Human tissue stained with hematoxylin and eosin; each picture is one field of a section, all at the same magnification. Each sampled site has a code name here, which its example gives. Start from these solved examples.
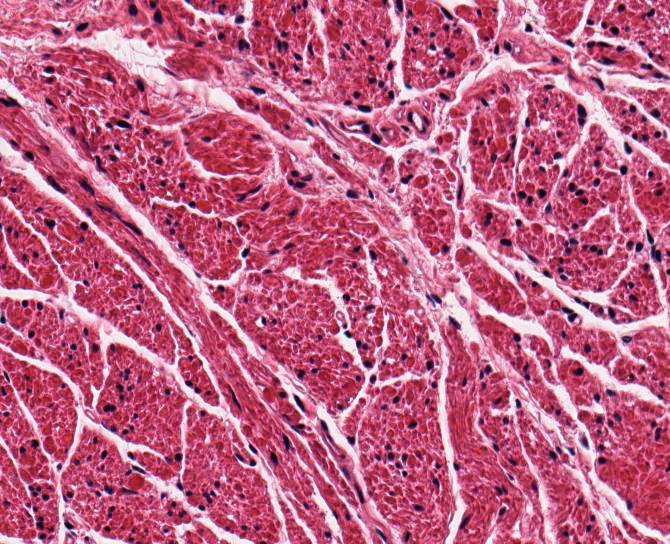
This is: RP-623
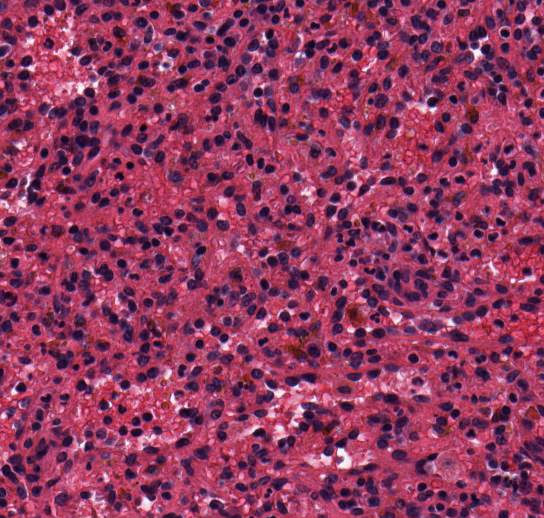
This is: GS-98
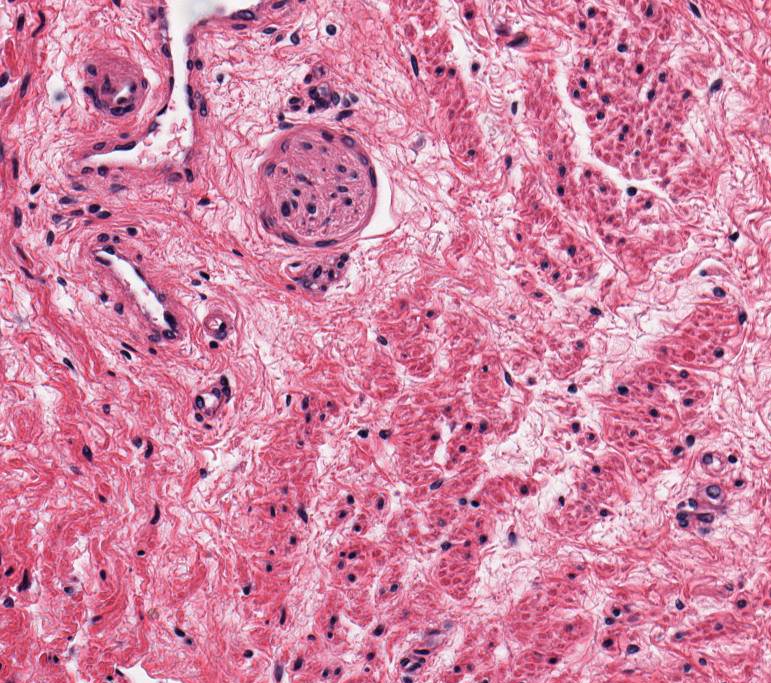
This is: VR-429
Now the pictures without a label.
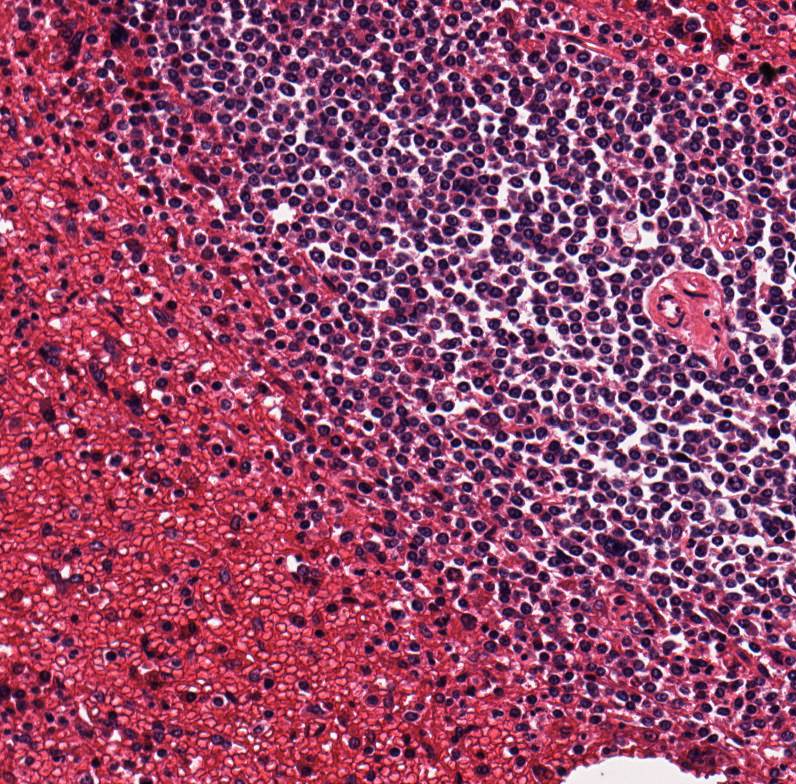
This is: GS-98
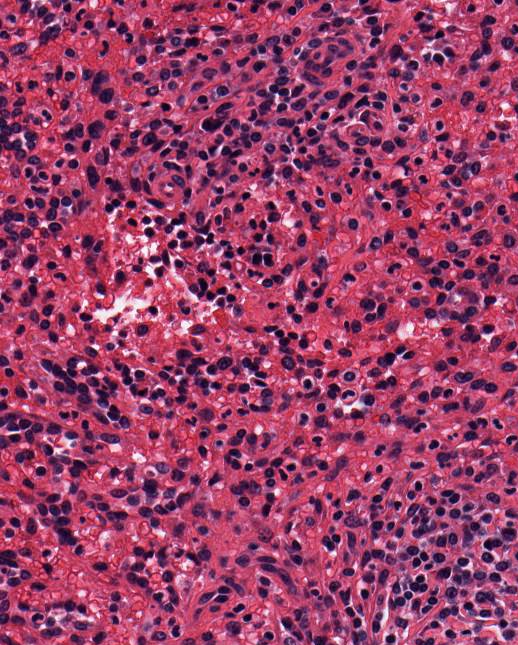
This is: GS-98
